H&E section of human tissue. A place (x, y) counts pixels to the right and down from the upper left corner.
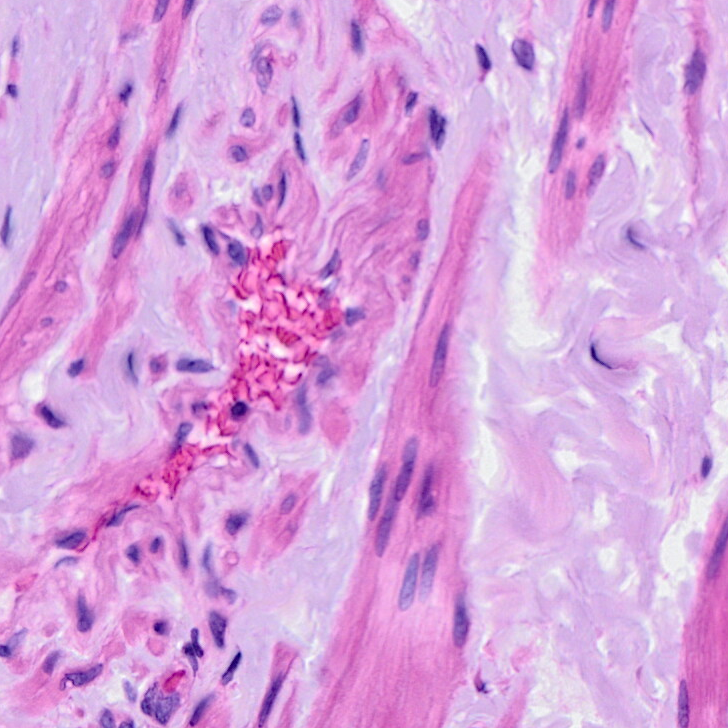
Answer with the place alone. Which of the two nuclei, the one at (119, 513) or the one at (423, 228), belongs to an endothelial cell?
(119, 513)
